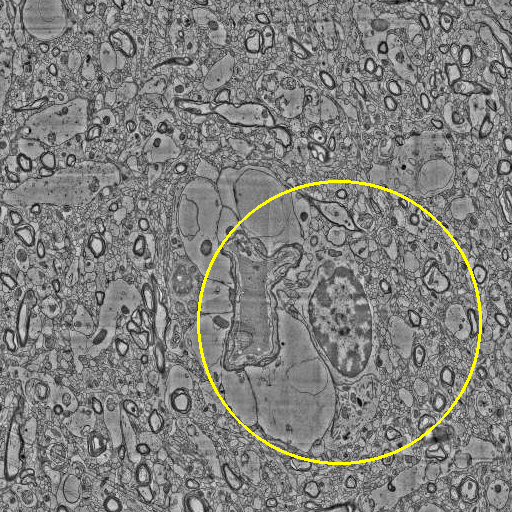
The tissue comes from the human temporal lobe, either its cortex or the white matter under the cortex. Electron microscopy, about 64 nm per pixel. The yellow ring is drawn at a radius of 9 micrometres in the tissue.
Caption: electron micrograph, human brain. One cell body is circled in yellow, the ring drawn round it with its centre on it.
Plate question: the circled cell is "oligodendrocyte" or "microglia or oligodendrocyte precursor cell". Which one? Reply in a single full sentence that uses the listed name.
The yellow ring on the plate is centred on a microglial cell or oligodendrocyte precursor cell, going by the listed names.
